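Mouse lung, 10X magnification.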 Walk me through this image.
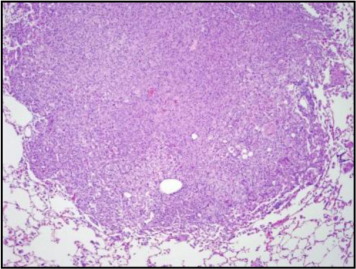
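A large, roughly round mass of densely packed cells occupies most of the field, staining a solid purple because the nuclei lie so close together. Within it the normal air spaces are gone, with only a few small clear holes left. Around its edges the thin pink walls of ordinary alveoli are still visible, and the mass pushes against them with a fairly well-defined border.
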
